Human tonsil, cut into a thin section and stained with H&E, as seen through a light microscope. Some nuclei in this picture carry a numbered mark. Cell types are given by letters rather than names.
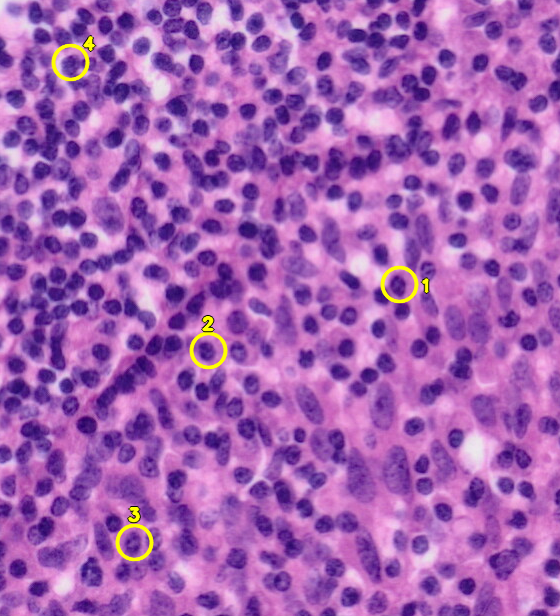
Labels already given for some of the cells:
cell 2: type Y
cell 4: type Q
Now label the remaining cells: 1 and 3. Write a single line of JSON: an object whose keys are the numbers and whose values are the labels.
{"1": "type Y", "3": "type Y"}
